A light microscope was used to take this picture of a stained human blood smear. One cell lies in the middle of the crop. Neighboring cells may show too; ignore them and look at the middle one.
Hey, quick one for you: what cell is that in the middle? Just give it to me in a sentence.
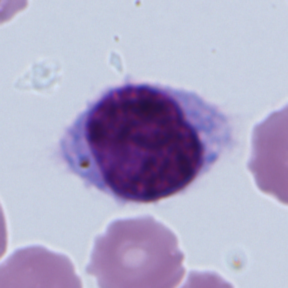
Present in the middle of the crop is a hairy cell.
